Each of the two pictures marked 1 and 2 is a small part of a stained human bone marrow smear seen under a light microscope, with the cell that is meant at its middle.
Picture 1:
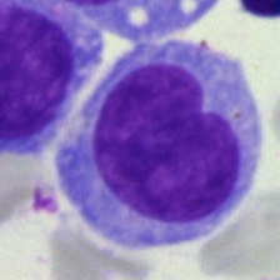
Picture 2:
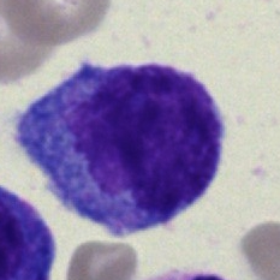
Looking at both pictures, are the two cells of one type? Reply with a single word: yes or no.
yes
